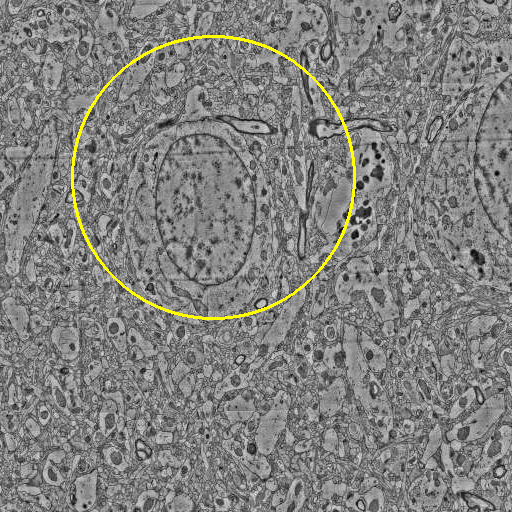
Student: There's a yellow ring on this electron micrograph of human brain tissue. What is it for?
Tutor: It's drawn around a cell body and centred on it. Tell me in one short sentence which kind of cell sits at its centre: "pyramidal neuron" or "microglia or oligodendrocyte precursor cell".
The cell at the centre of the ring is a pyramidal neuron.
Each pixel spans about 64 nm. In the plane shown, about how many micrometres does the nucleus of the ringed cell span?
Roughly 10 micrometres by 7 micrometres, so the nucleus is clearly longer than it is wide in this plane.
